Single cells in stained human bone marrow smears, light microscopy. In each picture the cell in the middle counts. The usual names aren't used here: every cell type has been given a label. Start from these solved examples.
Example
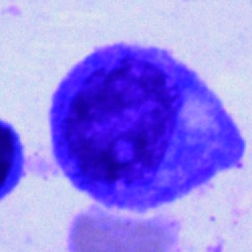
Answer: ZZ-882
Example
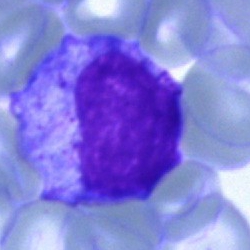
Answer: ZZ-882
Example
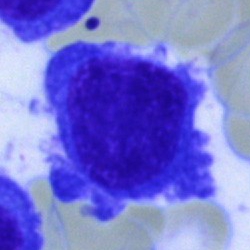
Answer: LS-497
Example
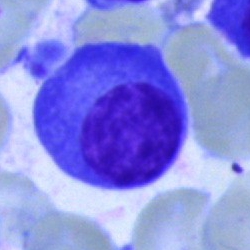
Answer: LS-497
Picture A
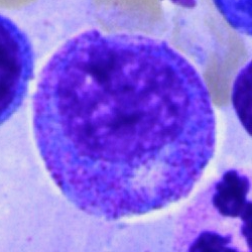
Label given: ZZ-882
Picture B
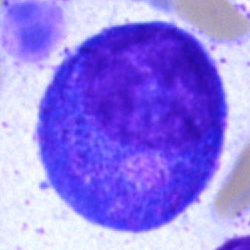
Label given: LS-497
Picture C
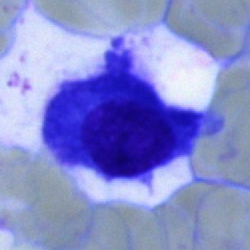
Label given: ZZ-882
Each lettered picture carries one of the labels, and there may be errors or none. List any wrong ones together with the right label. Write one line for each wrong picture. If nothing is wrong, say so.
B is labelled LS-497; correct label: ZZ-882
C is labelled ZZ-882; correct label: LS-497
